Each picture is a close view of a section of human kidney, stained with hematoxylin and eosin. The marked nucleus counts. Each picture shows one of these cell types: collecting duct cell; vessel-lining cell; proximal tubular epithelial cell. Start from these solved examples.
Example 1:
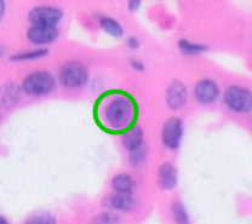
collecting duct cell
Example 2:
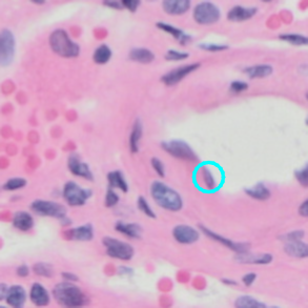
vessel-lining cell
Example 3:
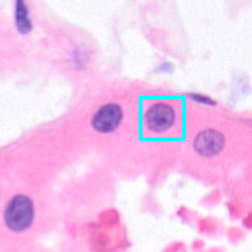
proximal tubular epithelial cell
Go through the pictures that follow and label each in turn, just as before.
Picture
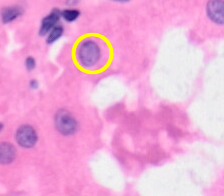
proximal tubular epithelial cell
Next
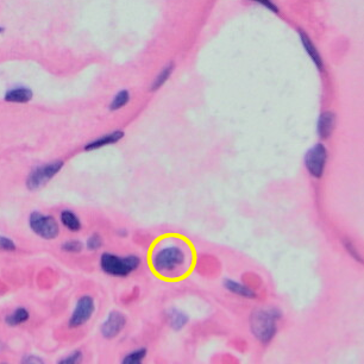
vessel-lining cell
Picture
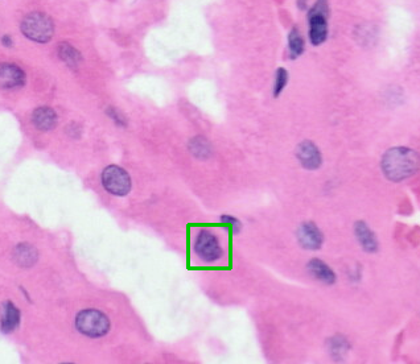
proximal tubular epithelial cell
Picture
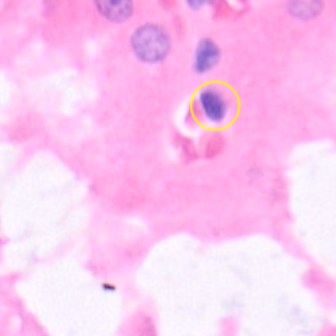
vessel-lining cell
